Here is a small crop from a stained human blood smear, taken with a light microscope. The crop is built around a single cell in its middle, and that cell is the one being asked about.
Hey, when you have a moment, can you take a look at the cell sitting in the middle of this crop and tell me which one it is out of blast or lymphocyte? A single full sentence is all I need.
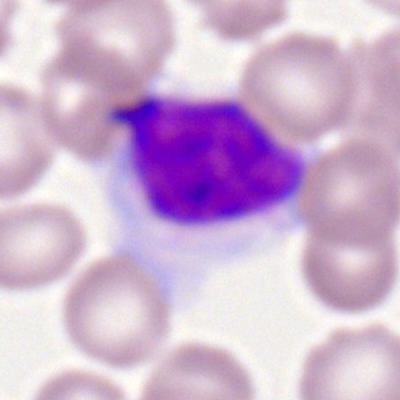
As for the cell in the middle, it is a lymphocyte.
